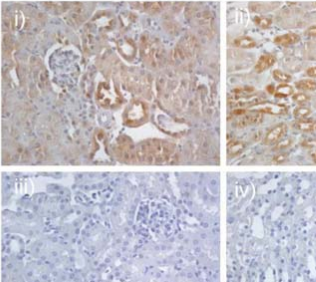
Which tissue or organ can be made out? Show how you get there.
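The sections are packed with cross-cut tubules lined by cuboidal epithelium. A rounded glomerular tuft sits among the tubules in the upper left image. The answer: kidneys.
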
